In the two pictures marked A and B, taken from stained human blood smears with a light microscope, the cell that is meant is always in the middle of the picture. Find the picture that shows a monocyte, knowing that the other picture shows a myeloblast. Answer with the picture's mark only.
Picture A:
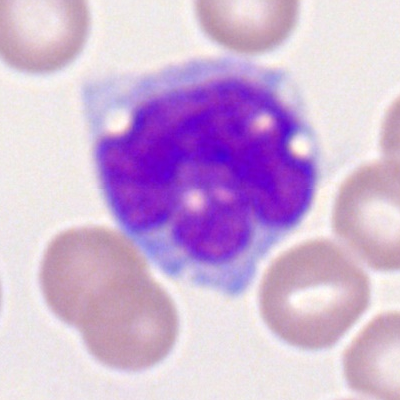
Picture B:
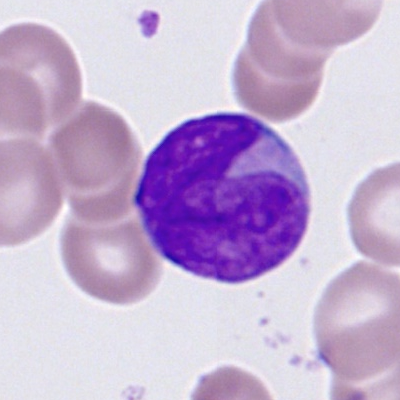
A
